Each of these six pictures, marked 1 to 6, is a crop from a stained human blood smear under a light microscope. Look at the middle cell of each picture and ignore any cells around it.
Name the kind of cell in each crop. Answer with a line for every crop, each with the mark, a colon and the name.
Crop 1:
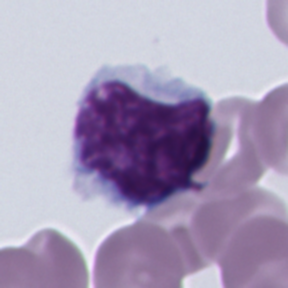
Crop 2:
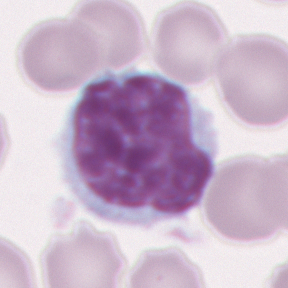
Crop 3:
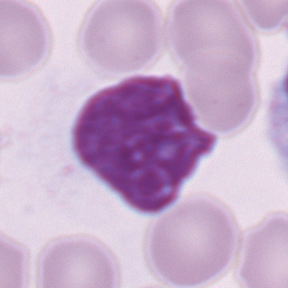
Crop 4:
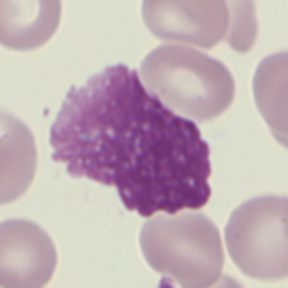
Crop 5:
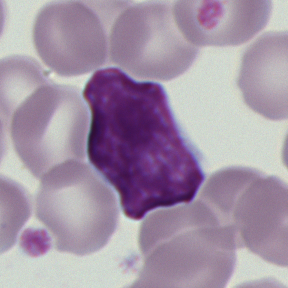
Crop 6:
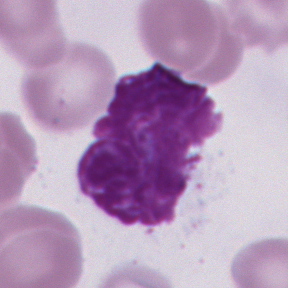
1: typical lymphocyte
2: typical lymphocyte
3: smudge cell
4: smudge cell
5: typical lymphocyte
6: smudge cell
